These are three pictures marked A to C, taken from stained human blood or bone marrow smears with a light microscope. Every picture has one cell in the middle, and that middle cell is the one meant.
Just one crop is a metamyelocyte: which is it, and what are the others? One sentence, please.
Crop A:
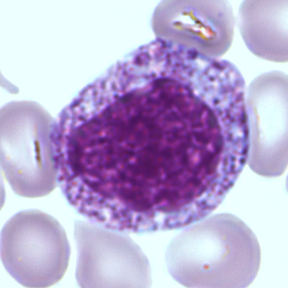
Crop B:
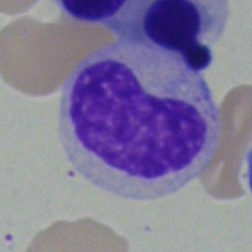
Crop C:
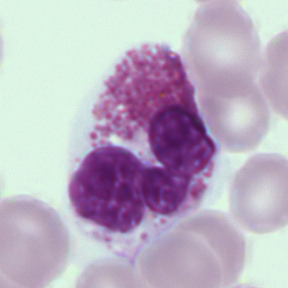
Whereas crop A is a myelocyte and crop C is an eosinophil, the cell at the centre of crop B is a metamyelocyte.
